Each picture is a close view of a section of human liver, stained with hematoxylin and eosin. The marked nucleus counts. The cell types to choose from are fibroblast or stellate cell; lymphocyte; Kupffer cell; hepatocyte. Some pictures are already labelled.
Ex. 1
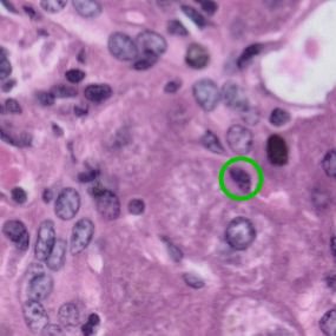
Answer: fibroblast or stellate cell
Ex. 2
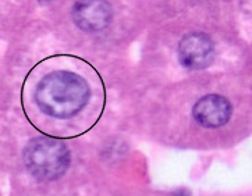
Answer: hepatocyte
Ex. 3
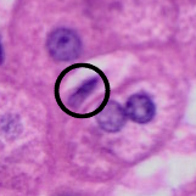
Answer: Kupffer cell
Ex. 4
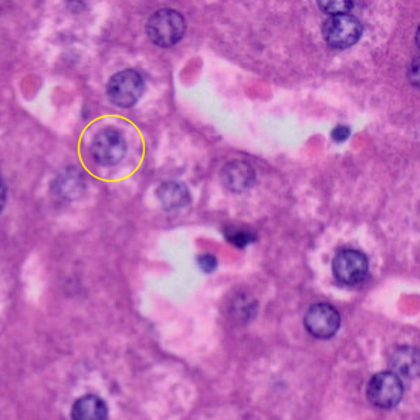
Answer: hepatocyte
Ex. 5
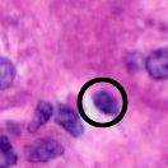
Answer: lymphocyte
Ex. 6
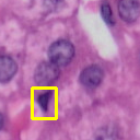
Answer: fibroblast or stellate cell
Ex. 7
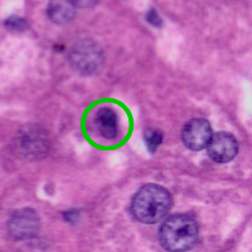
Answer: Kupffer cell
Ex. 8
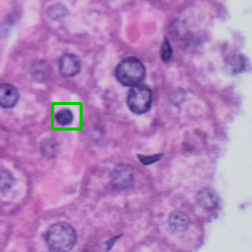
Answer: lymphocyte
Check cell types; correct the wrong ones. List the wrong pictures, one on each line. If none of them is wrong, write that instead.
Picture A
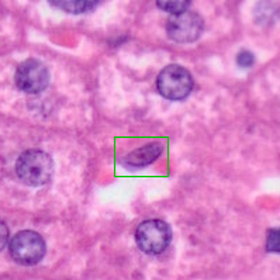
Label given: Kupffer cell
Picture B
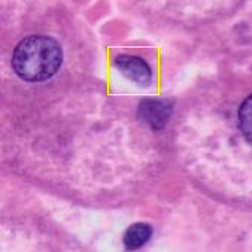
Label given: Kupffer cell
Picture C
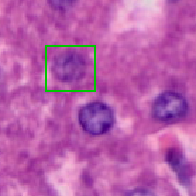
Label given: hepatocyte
All correct.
